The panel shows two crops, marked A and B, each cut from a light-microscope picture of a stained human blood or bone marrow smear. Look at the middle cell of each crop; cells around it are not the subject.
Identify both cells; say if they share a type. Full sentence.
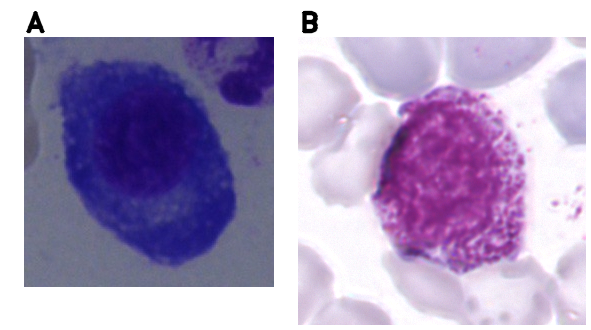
No, in fact crop A shows a plasma cell, and crop B shows a myelocyte.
